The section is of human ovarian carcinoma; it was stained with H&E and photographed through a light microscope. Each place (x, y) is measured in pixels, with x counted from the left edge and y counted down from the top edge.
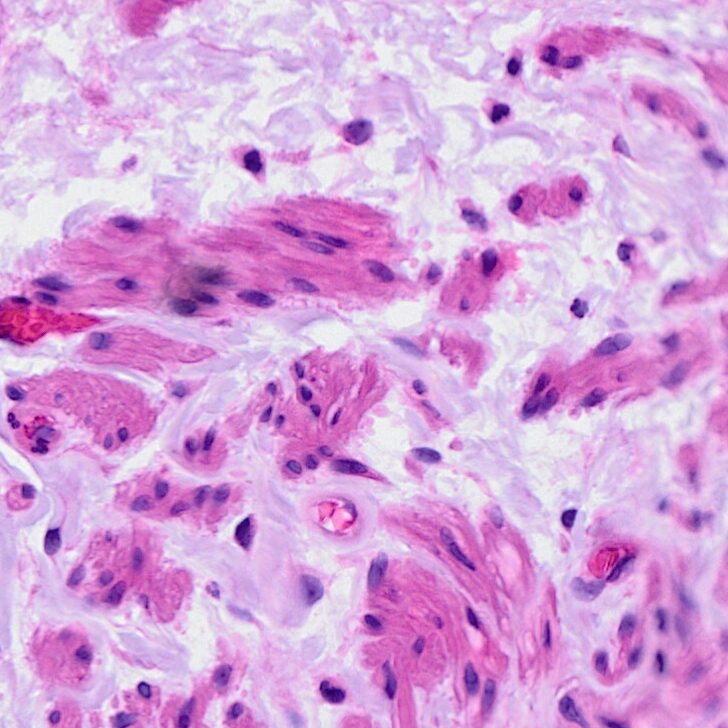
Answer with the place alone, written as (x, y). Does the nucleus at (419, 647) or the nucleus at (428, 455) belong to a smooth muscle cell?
(419, 647)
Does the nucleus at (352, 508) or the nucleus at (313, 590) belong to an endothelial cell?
(352, 508)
